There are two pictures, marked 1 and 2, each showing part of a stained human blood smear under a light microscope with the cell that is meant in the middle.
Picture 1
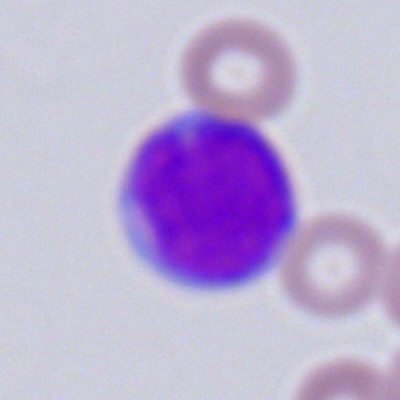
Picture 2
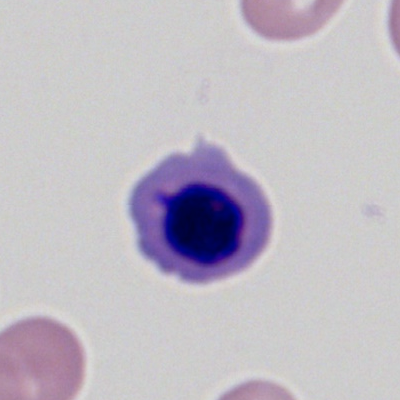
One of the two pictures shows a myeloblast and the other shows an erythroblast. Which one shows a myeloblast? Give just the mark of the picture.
1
